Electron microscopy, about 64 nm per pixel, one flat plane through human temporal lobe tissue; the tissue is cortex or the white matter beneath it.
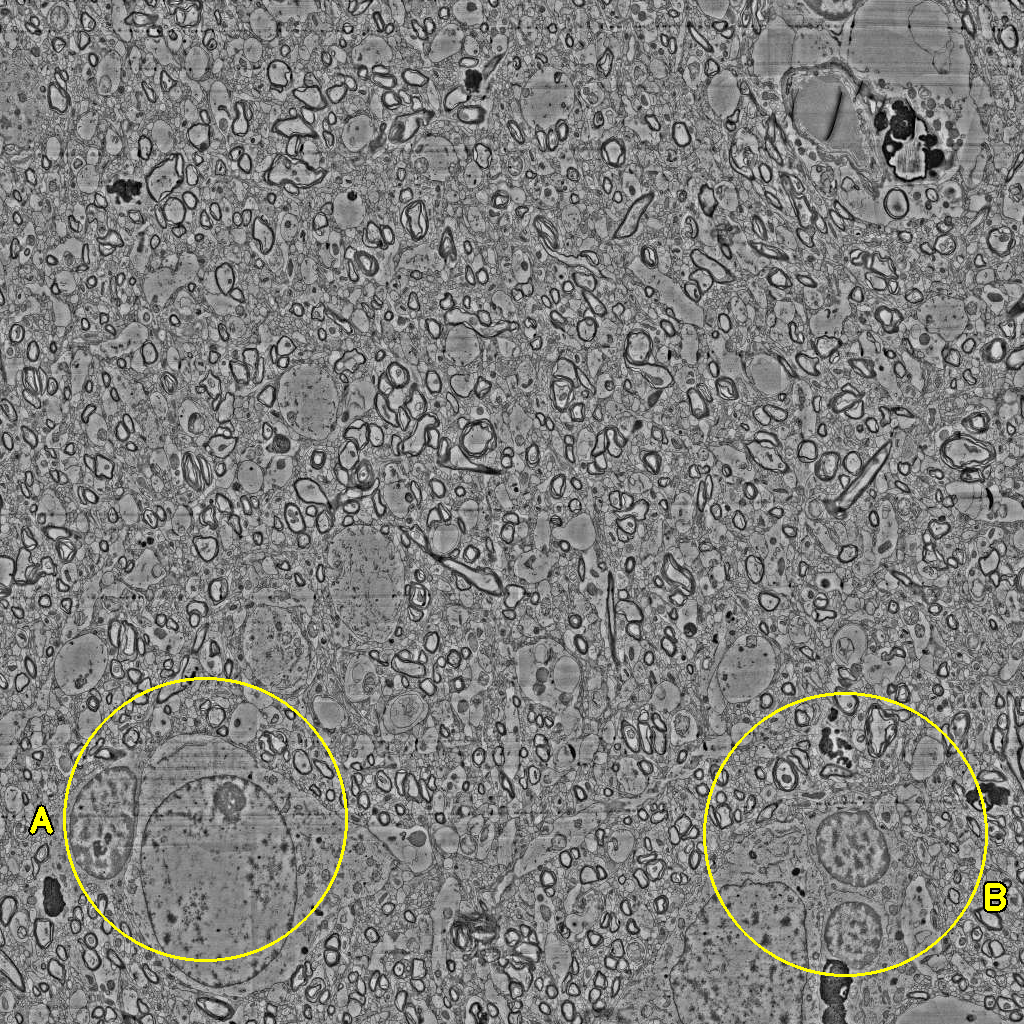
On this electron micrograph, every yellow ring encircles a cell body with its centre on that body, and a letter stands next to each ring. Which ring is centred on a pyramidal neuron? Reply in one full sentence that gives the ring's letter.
Ring A is the ring that has the cell asked for in its centre.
